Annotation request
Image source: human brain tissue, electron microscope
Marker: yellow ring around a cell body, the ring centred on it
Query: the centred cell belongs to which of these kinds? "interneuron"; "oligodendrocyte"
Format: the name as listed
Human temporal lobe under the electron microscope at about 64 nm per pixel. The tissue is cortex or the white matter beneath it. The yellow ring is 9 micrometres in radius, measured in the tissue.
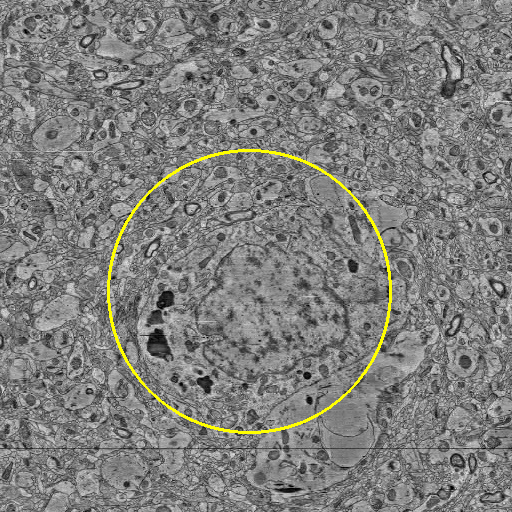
interneuron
